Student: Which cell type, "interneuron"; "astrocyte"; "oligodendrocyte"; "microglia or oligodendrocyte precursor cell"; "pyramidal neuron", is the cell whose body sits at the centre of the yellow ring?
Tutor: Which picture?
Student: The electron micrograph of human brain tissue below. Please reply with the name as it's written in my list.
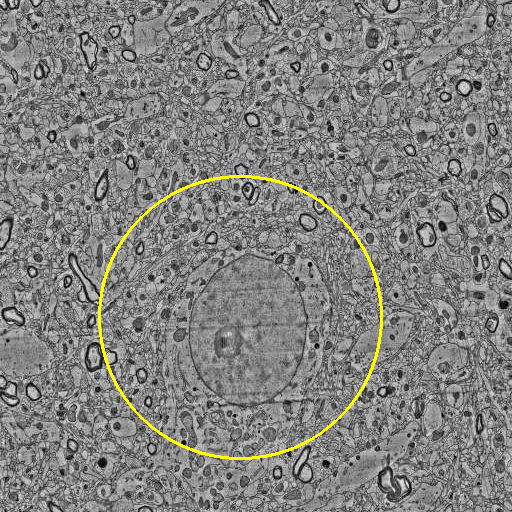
interneuron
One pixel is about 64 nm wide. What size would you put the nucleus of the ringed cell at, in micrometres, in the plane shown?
In this plane the nucleus spans approximately 10 by 8 micrometers.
